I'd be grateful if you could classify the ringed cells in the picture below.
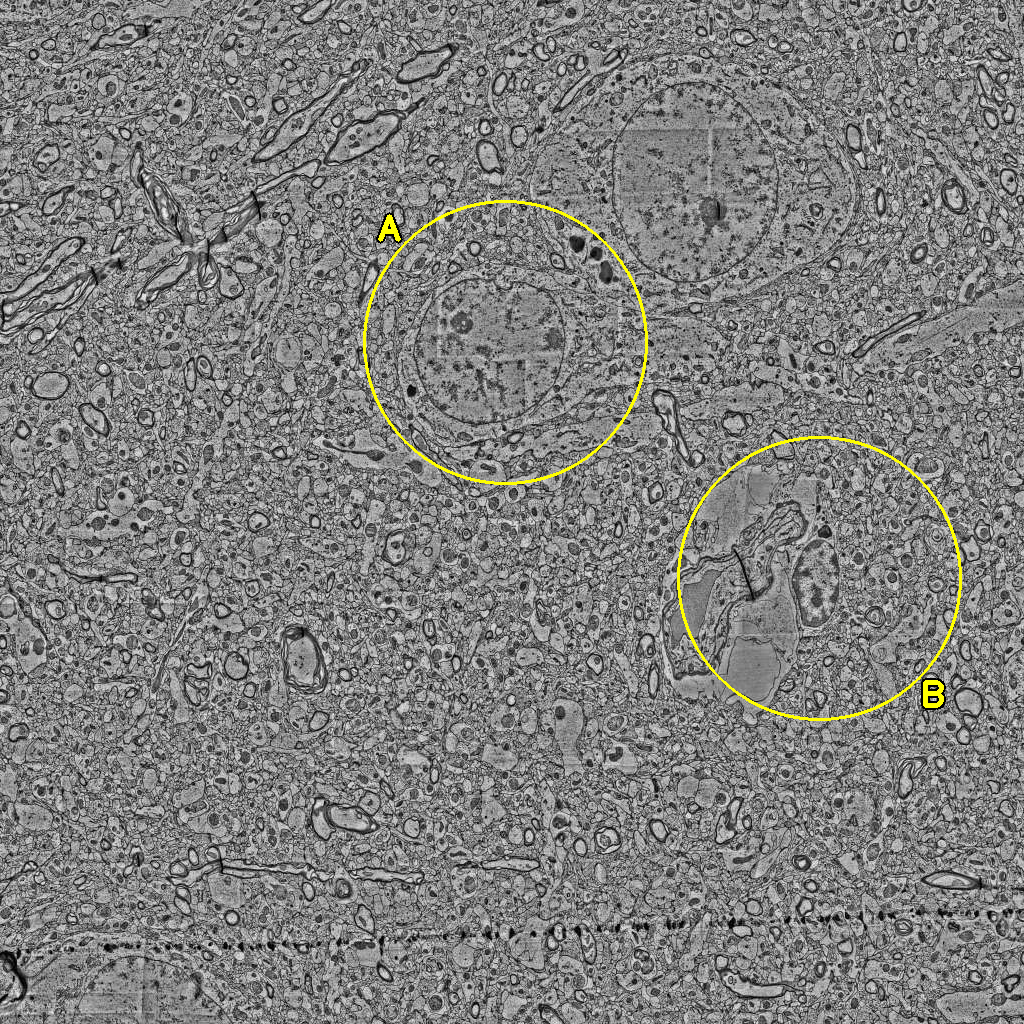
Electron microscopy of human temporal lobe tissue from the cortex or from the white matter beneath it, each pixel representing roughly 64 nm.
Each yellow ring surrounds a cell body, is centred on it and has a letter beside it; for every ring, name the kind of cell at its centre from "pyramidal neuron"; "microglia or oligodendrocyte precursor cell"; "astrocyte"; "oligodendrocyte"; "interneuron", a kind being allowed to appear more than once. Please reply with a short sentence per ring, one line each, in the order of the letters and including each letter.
In ring A we have a pyramidal neuron.
In ring B we have a microglial cell or oligodendrocyte precursor cell.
